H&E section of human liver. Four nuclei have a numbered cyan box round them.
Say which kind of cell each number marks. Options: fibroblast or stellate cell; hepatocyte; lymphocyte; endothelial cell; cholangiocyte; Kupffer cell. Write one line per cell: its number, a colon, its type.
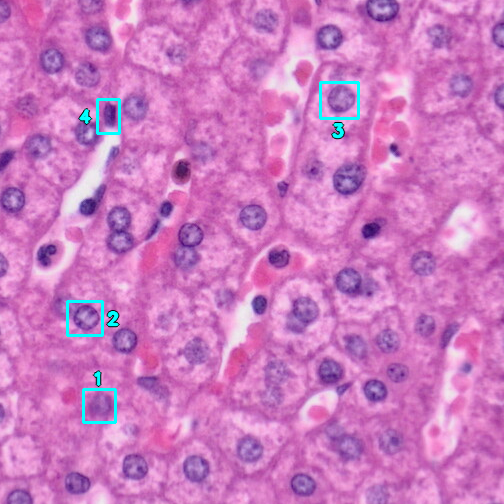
1: hepatocyte
2: hepatocyte
3: hepatocyte
4: fibroblast or stellate cell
